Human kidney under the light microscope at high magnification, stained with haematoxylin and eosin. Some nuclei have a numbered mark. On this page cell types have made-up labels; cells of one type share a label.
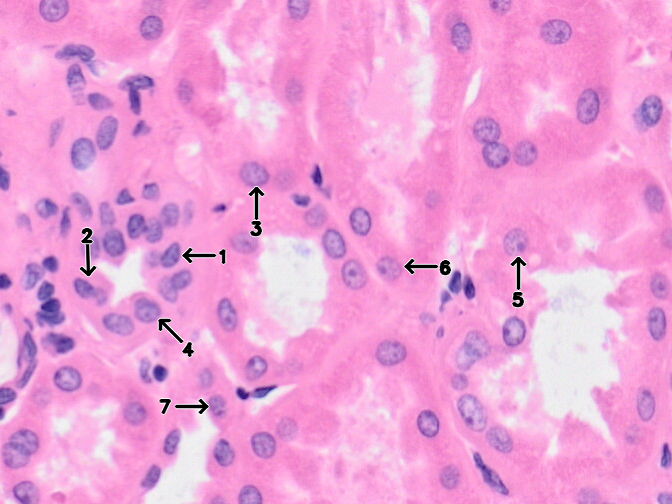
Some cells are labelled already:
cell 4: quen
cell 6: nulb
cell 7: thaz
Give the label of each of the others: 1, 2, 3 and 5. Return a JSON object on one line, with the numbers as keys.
{"1": "quen", "2": "quen", "3": "nulb", "5": "nulb"}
